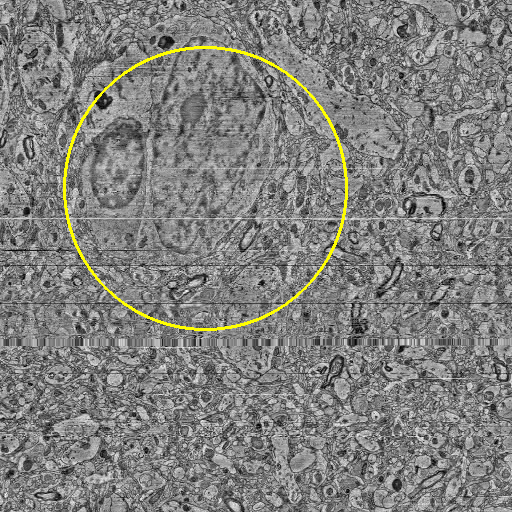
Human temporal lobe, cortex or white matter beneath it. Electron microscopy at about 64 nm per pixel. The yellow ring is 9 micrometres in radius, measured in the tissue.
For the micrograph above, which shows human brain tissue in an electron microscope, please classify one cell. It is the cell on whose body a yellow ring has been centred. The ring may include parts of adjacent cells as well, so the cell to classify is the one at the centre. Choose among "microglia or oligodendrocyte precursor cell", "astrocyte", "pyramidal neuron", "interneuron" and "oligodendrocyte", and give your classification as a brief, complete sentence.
I classify this cell as an interneuron.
